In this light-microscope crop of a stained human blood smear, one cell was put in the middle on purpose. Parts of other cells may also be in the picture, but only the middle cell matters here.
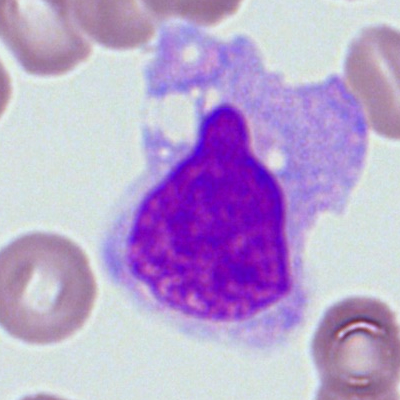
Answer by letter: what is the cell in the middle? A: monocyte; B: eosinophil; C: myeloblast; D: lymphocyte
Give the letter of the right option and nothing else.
A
